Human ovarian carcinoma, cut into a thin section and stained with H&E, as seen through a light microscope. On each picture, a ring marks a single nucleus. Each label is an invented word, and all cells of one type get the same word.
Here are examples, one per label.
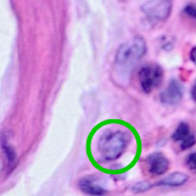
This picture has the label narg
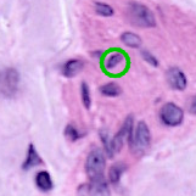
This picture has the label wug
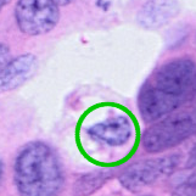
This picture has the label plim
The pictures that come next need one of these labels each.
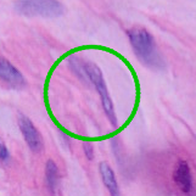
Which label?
wug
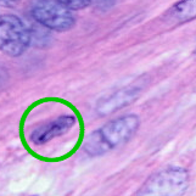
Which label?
plim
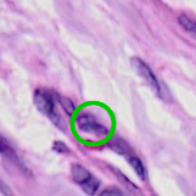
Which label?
narg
